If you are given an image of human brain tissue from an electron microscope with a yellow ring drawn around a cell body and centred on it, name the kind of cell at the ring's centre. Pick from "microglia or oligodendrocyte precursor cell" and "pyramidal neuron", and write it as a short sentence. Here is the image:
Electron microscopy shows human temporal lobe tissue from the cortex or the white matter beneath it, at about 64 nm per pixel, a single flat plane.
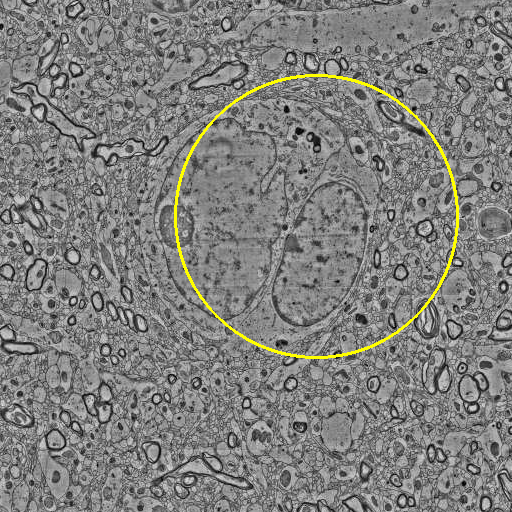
The cell at the ring's centre is a microglial cell or oligodendrocyte precursor cell.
